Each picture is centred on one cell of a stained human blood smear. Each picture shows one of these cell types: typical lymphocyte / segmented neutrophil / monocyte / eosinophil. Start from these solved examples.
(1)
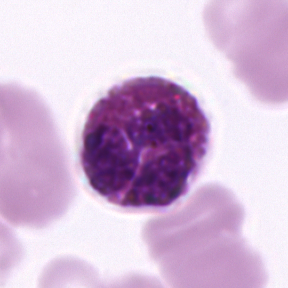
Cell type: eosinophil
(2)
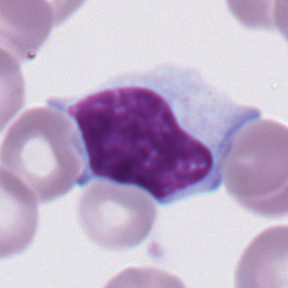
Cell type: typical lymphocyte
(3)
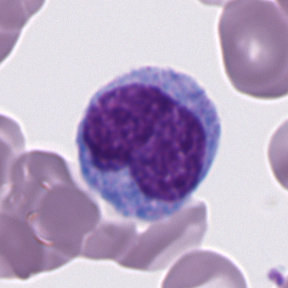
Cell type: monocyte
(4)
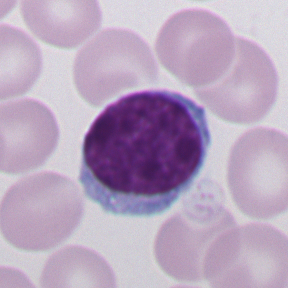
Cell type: typical lymphocyte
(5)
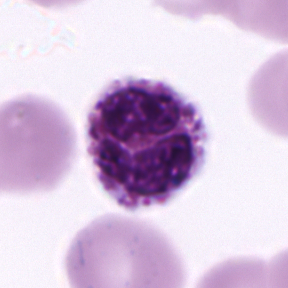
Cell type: eosinophil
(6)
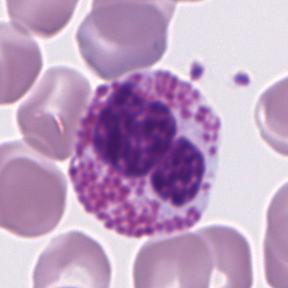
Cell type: eosinophil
